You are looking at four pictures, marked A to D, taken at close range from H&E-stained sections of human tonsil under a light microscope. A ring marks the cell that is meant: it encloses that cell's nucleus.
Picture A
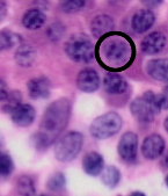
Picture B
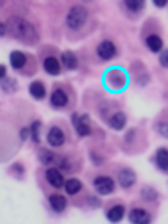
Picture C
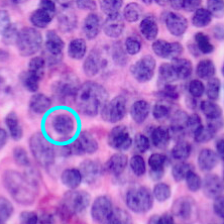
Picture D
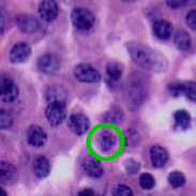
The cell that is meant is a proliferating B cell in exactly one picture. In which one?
C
